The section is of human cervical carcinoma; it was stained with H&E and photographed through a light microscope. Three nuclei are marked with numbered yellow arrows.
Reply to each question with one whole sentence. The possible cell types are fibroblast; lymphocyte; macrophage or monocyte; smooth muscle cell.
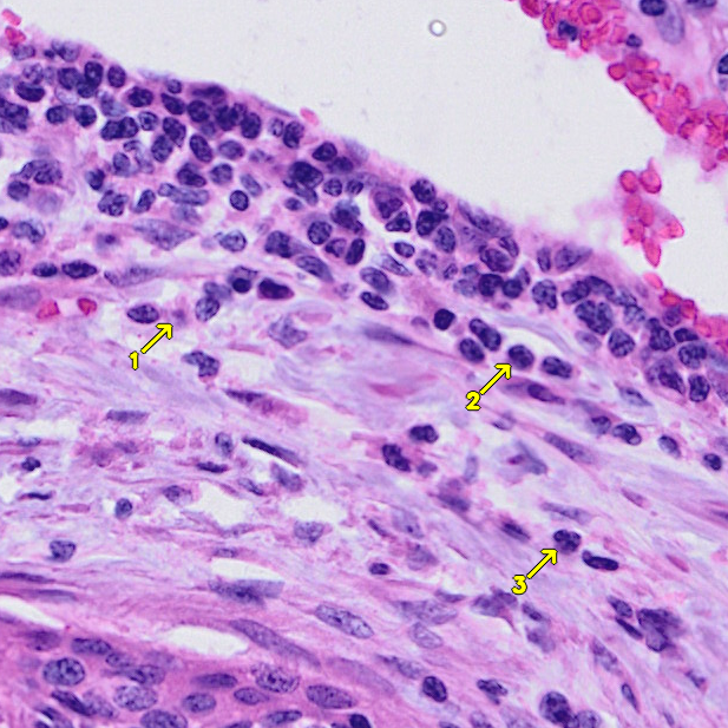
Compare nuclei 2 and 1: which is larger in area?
It is nucleus 2, which covers about 2.5 times the area of nucleus 1.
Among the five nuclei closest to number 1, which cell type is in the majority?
Most of the five nuclei nearest to number 1 are those of lymphocytes.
